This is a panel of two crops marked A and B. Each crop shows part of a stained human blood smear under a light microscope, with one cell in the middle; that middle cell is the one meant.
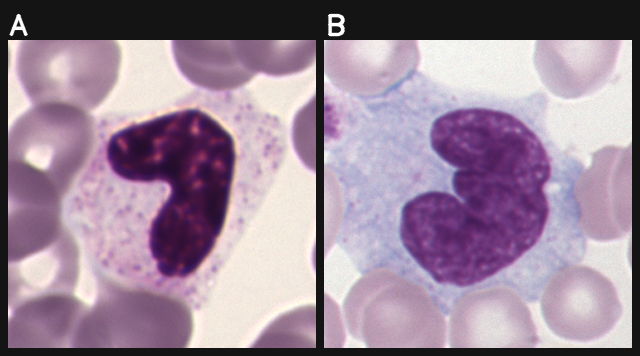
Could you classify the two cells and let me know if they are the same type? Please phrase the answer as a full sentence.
No, crop A features a segmented neutrophil, while crop B features a monocyte.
